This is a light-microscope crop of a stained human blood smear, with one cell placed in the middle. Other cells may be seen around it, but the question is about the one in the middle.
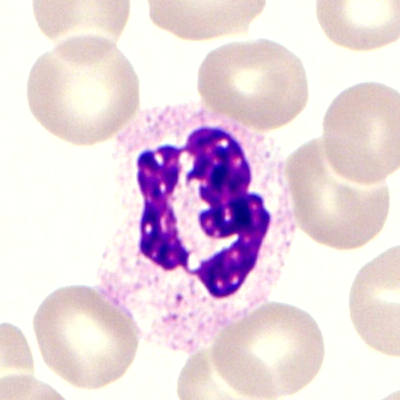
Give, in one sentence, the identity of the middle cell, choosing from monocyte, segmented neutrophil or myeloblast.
The centrally placed cell is classified as a segmented neutrophil.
